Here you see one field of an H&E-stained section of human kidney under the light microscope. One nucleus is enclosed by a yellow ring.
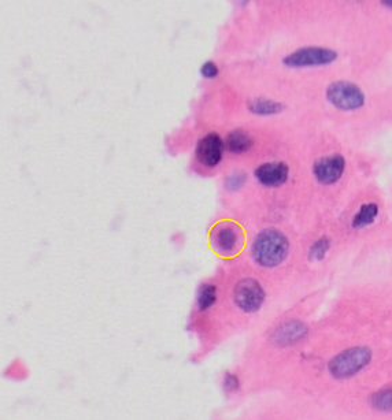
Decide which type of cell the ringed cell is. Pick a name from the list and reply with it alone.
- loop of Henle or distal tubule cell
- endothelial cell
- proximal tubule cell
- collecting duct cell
loop of Henle or distal tubule cell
